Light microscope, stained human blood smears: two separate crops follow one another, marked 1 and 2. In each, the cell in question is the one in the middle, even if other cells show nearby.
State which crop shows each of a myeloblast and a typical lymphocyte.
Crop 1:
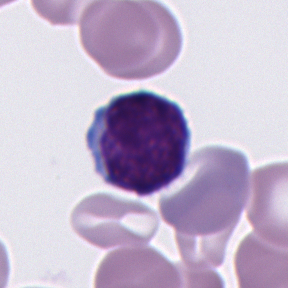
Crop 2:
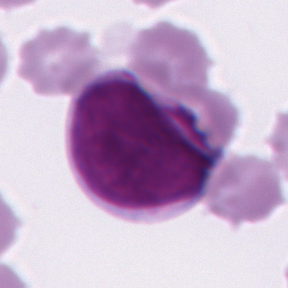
1: typical lymphocyte
2: myeloblast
